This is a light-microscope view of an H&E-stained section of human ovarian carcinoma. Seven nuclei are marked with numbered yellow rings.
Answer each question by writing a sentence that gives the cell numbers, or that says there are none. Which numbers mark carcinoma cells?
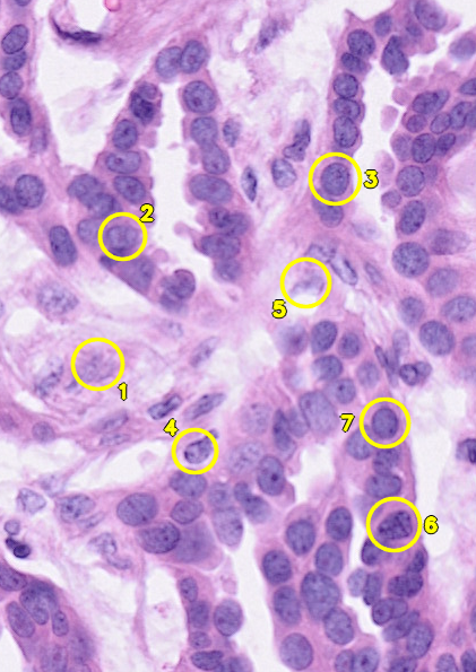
The cells that bear the numbers 2, 3, 6 and 7 are carcinoma cells.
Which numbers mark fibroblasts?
Cells 1 and 5 are classified as fibroblasts.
